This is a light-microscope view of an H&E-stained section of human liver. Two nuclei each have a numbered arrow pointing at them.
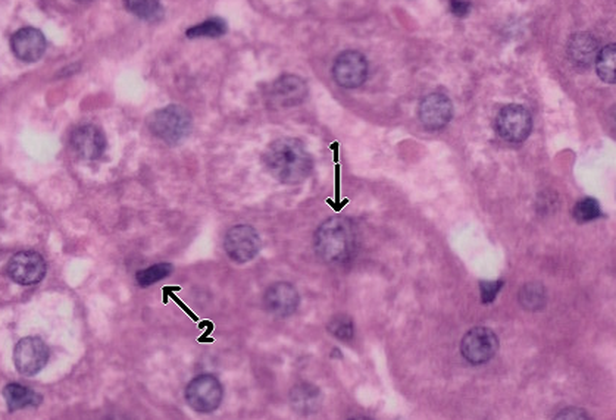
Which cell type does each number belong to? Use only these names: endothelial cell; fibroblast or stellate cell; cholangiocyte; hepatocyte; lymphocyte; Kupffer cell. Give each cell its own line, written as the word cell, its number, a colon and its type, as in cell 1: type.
cell 1: hepatocyte
cell 2: fibroblast or stellate cell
